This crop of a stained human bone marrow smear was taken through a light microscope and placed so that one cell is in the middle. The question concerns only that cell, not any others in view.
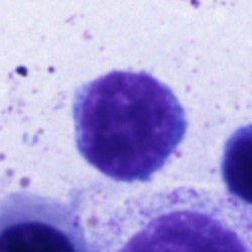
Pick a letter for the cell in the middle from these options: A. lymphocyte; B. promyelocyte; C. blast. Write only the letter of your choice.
A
